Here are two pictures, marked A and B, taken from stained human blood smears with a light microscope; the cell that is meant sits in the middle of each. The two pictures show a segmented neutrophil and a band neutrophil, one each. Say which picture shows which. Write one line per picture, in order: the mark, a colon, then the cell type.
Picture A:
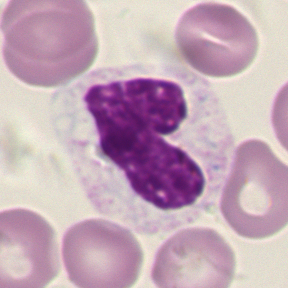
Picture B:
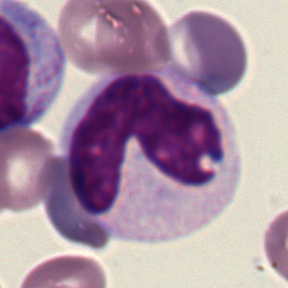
A: segmented neutrophil
B: band neutrophil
